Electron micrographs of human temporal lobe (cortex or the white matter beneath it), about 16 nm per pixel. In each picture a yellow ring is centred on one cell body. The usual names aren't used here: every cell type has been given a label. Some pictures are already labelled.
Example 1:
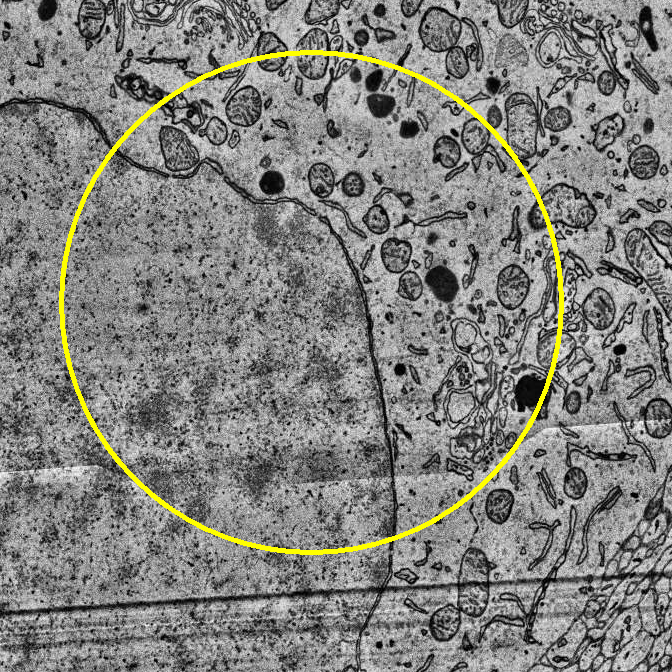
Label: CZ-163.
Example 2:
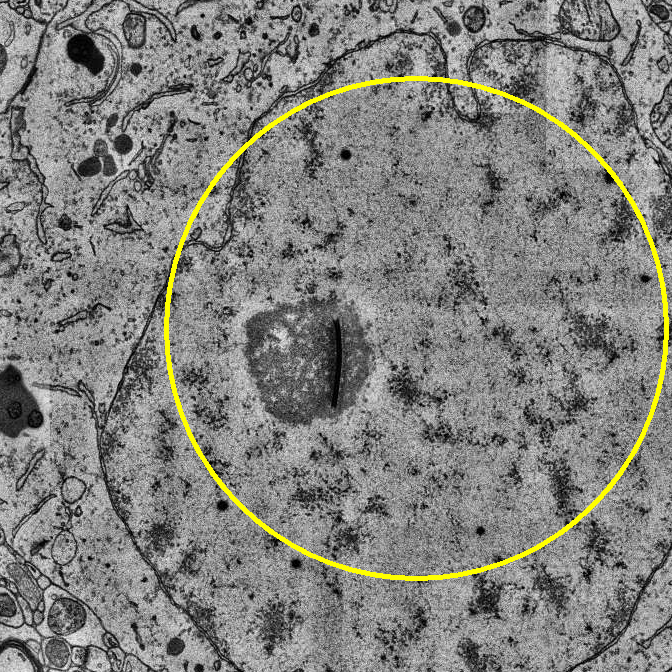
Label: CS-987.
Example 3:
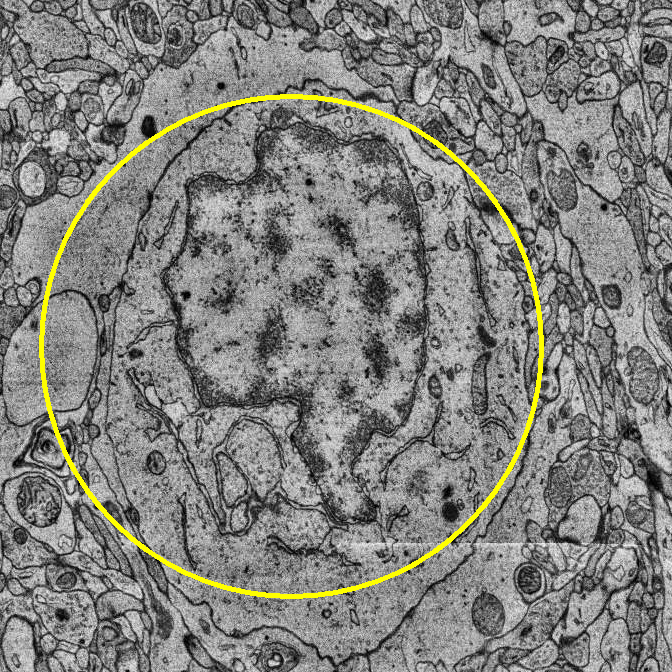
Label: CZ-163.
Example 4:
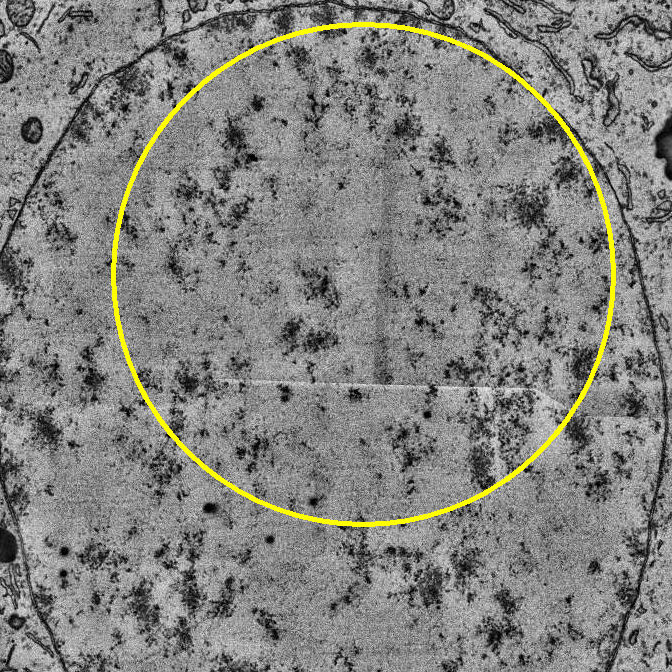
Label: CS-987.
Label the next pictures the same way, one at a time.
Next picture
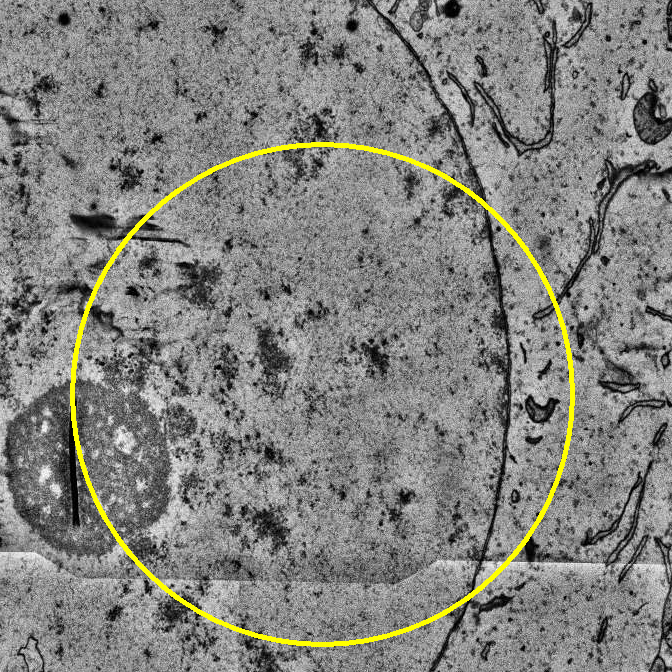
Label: CS-987.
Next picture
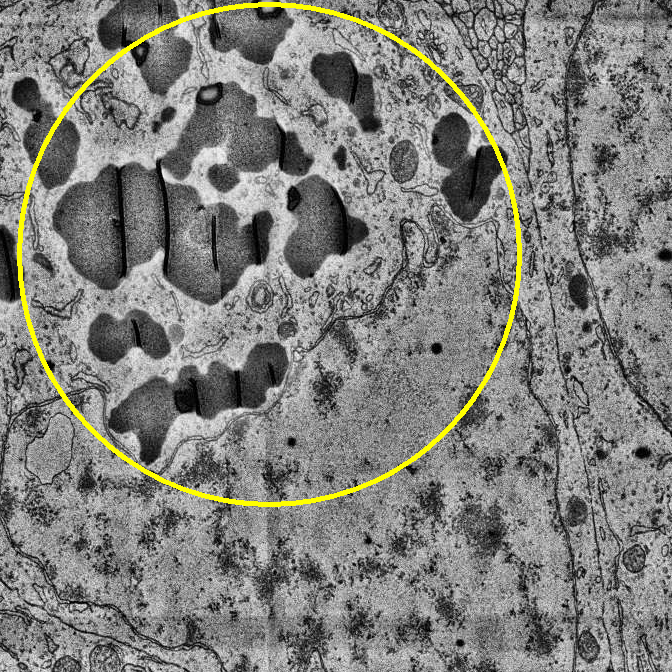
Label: CZ-163.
